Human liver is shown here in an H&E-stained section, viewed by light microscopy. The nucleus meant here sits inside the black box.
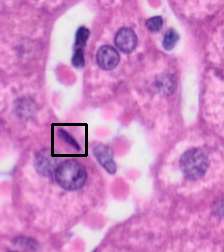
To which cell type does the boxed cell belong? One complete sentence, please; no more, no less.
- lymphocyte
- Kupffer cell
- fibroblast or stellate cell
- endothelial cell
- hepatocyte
Histopathologically, the boxed cell is a fibroblast or stellate cell.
